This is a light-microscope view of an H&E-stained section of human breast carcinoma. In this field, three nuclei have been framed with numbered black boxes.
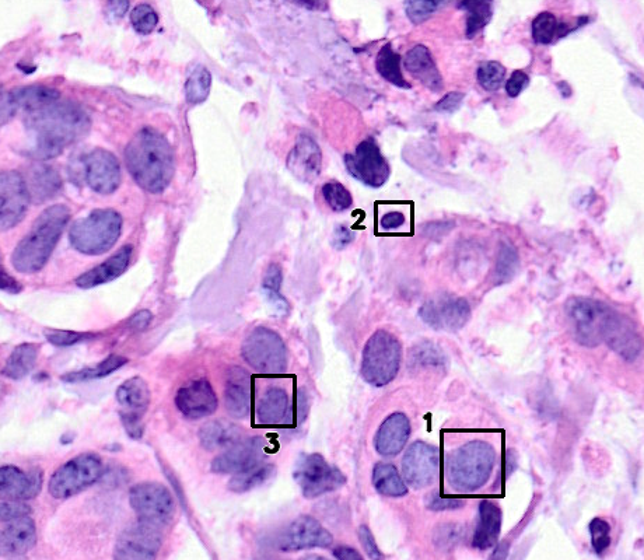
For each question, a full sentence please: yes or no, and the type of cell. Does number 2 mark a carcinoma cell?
No, for cell 2, the correct identification is a lymphocyte instead of a carcinoma cell.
